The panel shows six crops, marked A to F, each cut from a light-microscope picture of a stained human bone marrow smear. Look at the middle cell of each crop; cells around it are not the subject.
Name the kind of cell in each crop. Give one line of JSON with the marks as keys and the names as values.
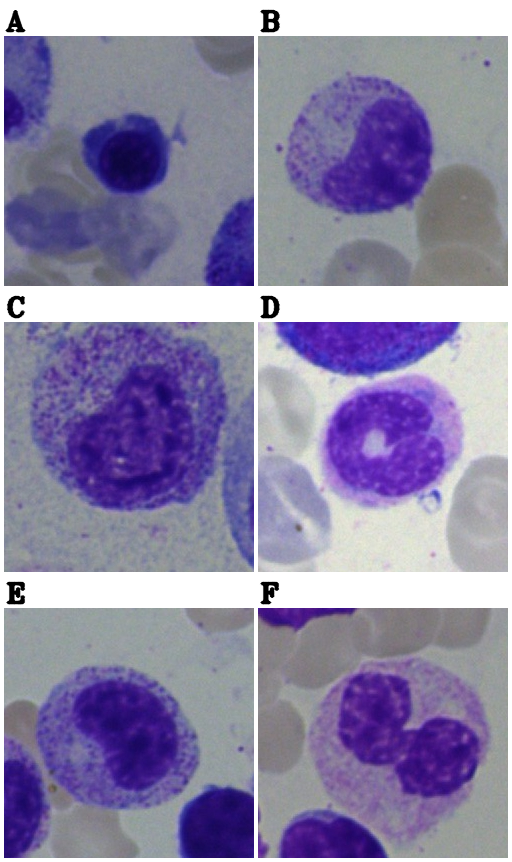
{"A": "erythroblast", "B": "metamyelocyte", "C": "myelocyte", "D": "band neutrophil", "E": "metamyelocyte", "F": "band neutrophil"}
